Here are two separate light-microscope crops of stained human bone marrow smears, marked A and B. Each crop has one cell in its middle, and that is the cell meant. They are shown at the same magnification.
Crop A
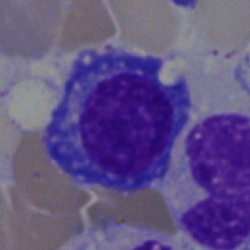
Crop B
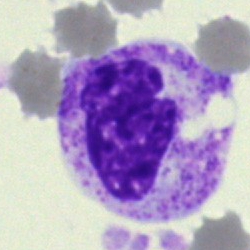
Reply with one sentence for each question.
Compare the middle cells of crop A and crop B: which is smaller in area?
Smaller is the cell in crop A, and the other is about 1.5 times as large in area.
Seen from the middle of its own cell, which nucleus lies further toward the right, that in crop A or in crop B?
In crop A the nucleus is shifted more toward the right.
